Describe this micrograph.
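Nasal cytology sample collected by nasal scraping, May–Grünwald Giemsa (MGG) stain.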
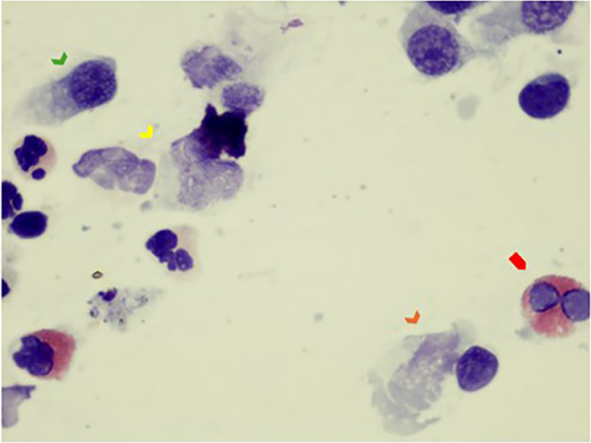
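Eosinophils are conspicuous: rounded cells with a nucleus of two dark lobes and cytoplasm packed with orange-red granules. Smaller cells with dark, lobed nuclei lie near them. Epithelial cells have oval nuclei with finely granular purple chromatin and pale bluish-grey cytoplasm; some are irregular and fragmented. A pale, ragged fragment of cytoplasm lies beside a detached dark nucleus. A dense dark-violet clump lies among the epithelial cells. The background is pale and largely acellular.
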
